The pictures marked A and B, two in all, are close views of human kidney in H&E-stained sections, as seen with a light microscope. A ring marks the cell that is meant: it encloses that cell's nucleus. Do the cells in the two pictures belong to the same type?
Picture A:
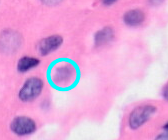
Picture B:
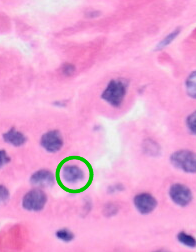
yes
